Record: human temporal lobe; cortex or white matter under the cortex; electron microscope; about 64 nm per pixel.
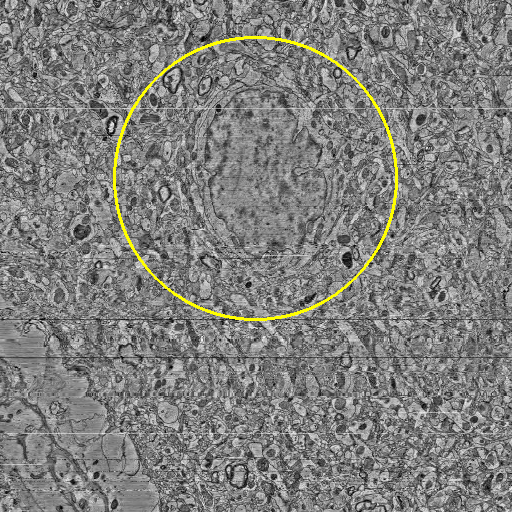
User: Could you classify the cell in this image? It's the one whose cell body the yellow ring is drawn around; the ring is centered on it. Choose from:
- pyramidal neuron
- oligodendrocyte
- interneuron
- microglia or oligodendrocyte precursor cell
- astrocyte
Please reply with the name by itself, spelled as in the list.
interneuron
